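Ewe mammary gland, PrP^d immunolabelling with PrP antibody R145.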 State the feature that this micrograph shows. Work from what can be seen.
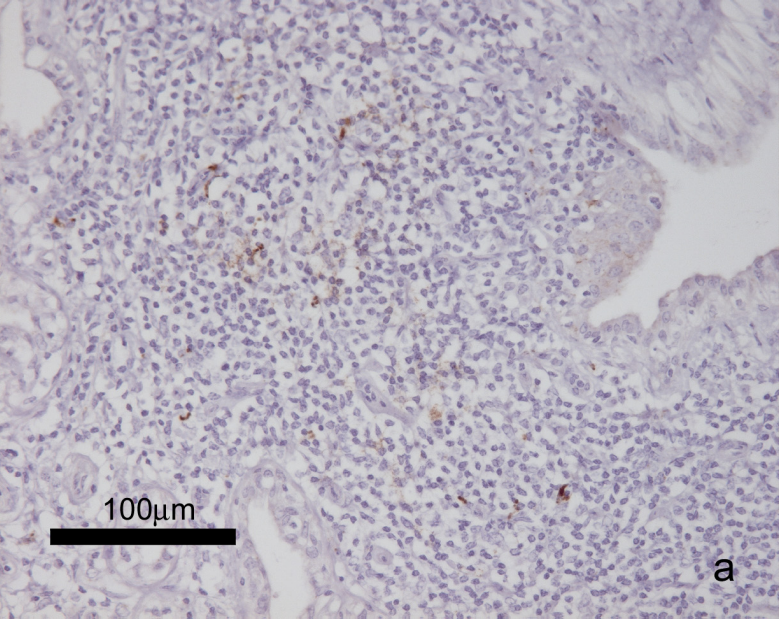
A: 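Many closely packed small round blue-counterstained nuclei fill the field. An epithelium-lined lumen lies at the upper right beside the packed cells. The answer: lymphoid aggregates.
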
